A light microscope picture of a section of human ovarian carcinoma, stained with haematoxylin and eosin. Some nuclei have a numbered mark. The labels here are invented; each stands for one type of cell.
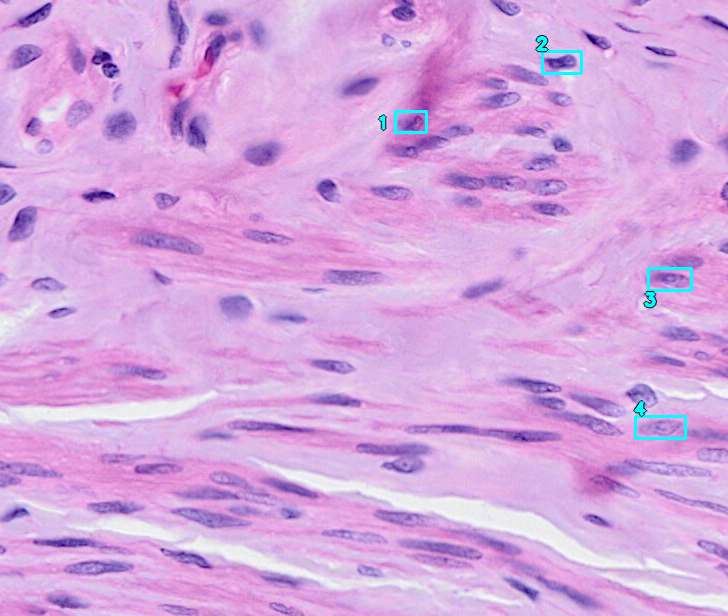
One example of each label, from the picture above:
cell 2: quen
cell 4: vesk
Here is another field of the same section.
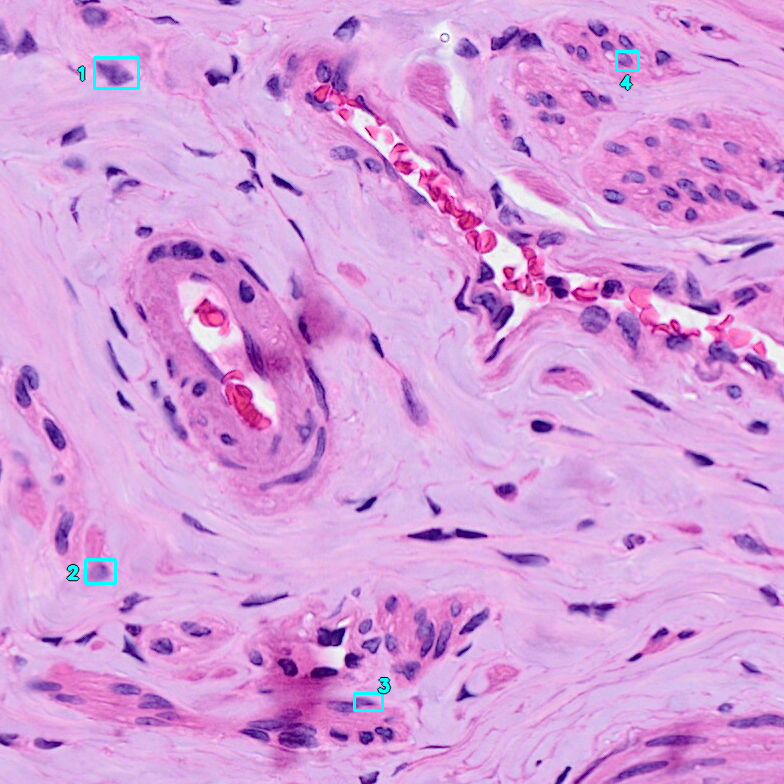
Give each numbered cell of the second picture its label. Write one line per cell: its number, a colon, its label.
1: quen
2: vesk
3: vesk
4: vesk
